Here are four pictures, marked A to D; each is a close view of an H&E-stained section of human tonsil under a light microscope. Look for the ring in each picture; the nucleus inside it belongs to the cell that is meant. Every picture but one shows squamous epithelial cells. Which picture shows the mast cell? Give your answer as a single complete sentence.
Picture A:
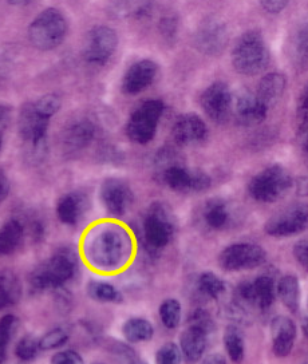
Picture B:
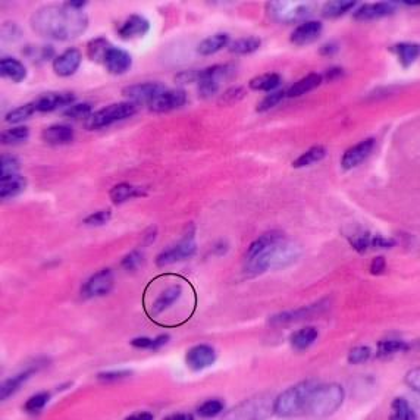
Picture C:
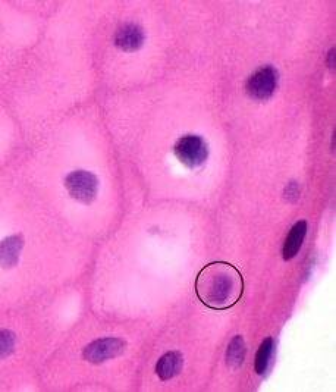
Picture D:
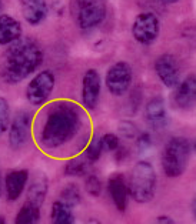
Picture B shows the mast cell.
